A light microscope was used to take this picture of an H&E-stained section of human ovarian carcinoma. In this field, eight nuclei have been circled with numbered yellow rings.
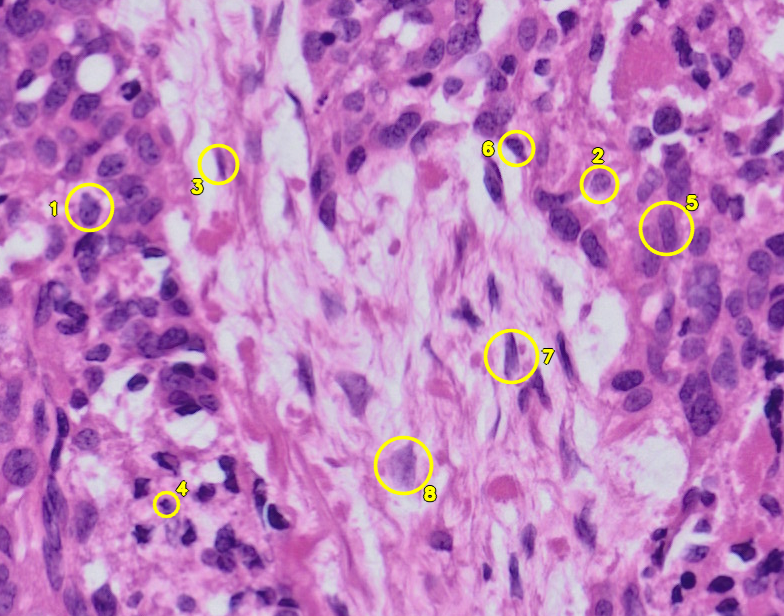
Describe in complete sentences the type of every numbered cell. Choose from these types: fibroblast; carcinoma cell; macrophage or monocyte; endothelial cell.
Cell 1 is a macrophage or monocyte, cell 2 is a macrophage or monocyte, cell 3 is a fibroblast, cell 4 is a macrophage or monocyte, cell 5 is a carcinoma cell, cell 6 is a carcinoma cell, cell 7 is a fibroblast and cell 8 is a fibroblast.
